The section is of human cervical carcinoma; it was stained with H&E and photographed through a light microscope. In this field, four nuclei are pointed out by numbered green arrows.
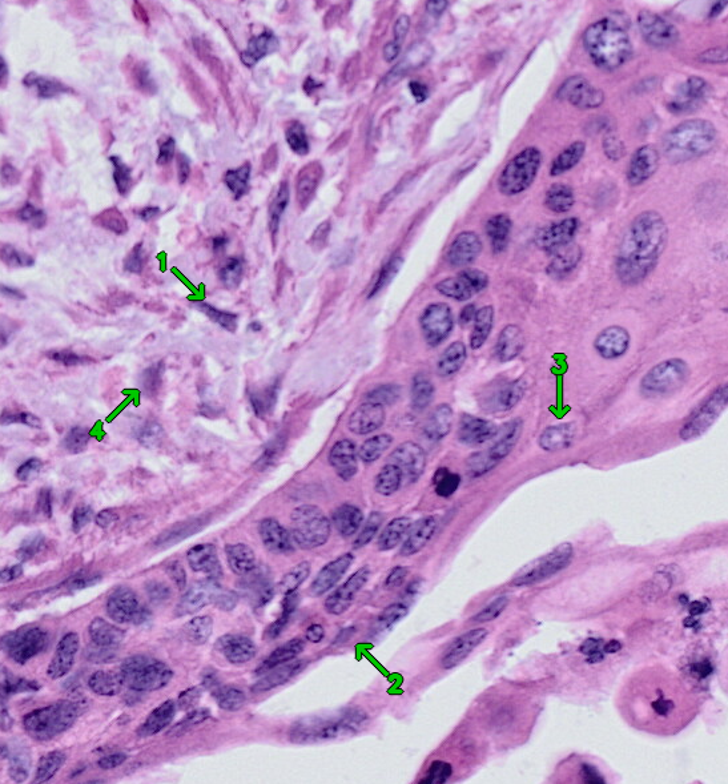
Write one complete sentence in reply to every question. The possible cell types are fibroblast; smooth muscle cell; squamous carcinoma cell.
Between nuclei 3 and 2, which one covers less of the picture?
Nucleus 2 is the smaller one; nucleus 3 covers about 2 times its area.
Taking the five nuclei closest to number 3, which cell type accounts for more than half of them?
Squamous carcinoma cells account for more than half of the five nuclei nearest to number 3.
